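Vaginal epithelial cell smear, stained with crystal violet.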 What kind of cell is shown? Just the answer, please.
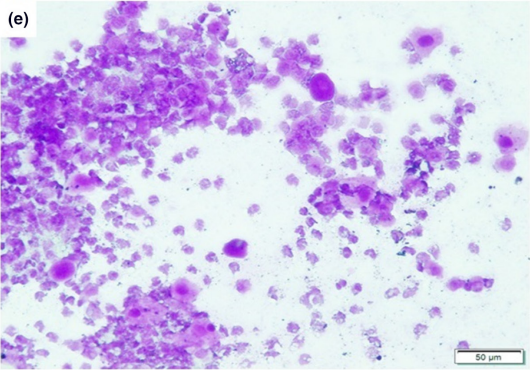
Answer: Leukocytes.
